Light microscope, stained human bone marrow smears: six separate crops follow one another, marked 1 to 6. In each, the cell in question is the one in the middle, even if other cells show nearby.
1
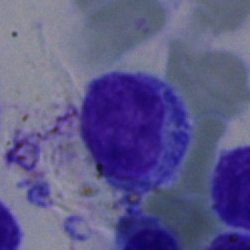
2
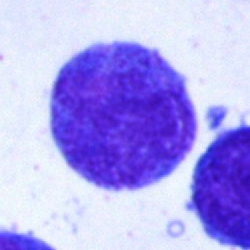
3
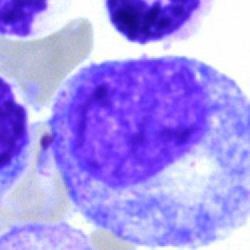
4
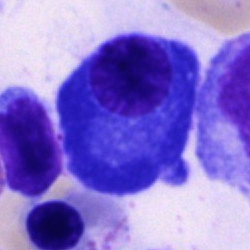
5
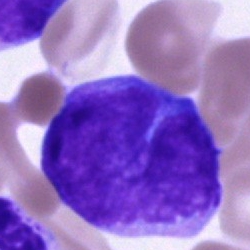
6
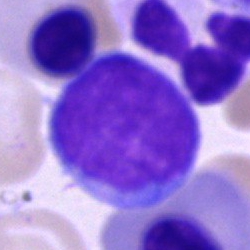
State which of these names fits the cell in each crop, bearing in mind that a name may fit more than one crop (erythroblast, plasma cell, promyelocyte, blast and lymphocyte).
1: lymphocyte
2: blast
3: promyelocyte
4: plasma cell
5: blast
6: blast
